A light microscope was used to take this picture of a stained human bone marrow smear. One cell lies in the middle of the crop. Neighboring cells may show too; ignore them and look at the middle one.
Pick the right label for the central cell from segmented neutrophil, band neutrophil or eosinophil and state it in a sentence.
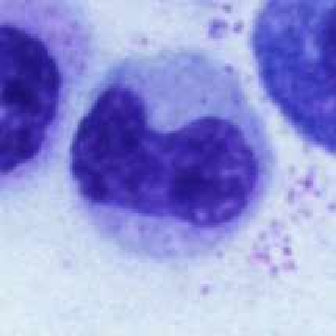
In the centre of this crop there is a band neutrophil.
